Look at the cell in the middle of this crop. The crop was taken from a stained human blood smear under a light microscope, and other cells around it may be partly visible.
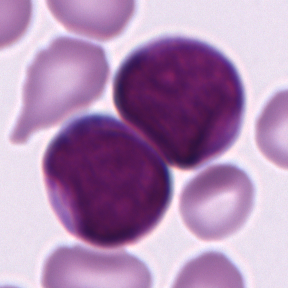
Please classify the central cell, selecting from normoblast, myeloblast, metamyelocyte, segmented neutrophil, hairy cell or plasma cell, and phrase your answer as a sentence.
At the crop's centre, the cell is a myeloblast.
